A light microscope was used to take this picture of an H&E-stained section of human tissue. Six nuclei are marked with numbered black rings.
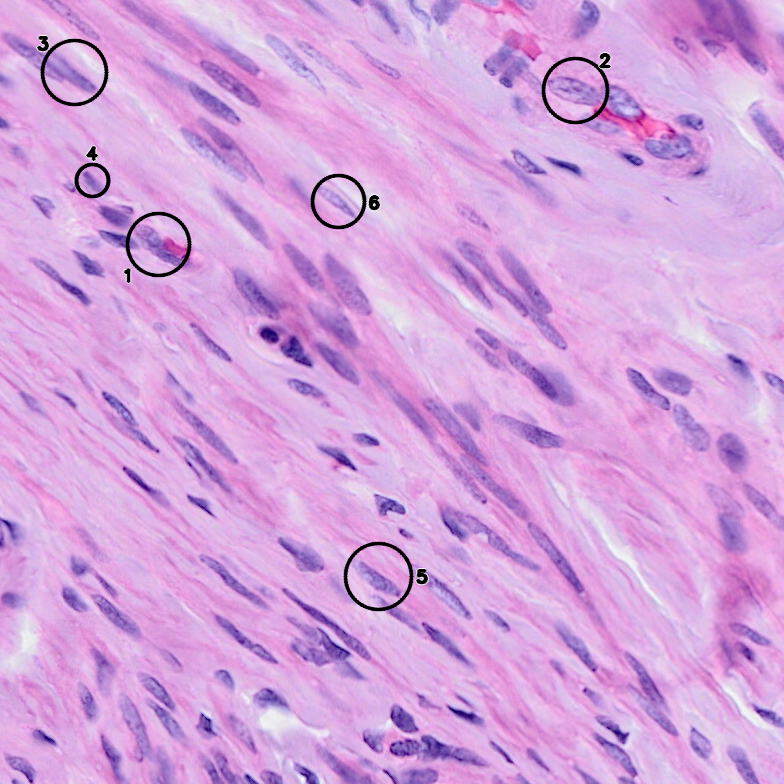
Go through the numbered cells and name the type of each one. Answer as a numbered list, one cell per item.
1. endothelial cell
2. endothelial cell
3. smooth muscle cell
4. smooth muscle cell
5. smooth muscle cell
6. smooth muscle cell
